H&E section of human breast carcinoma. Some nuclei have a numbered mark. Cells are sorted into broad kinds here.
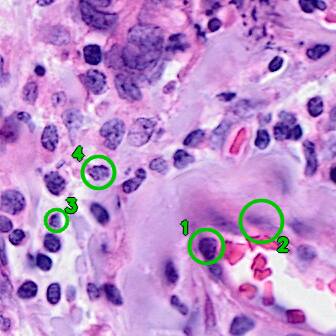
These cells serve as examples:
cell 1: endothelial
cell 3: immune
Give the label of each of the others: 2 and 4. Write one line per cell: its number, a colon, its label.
2: endothelial
4: immune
